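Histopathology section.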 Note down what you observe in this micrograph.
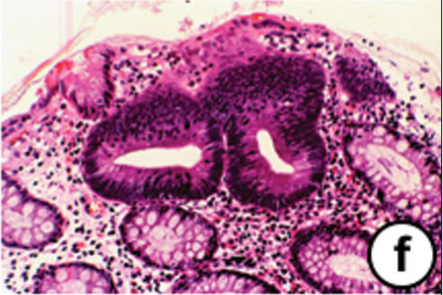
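This is colonic mucosa containing dysplastic crypts. At the centre two crypts are lined by tall epithelial cells whose elongated, darkly purple nuclei are crowded and stacked in several layers, leaving little pale cytoplasm; their lumina are narrow and slit-like or open. Goblet cells are scarce in them. Around them, crypts cut in cross section show the usual pattern: small nuclei at the base and abundant pale mucous cytoplasm. The lamina propria between the crypts is densely packed with small dark round cells, likely inflammatory cells. The surface at the top is slightly raised over the abnormal crypts.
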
